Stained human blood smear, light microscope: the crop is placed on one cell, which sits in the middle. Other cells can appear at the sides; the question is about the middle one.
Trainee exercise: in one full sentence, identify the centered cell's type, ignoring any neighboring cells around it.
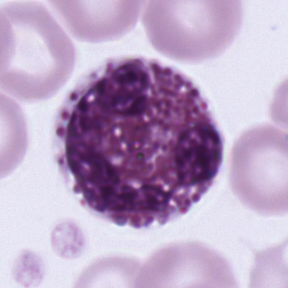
To answer, the cell in the center of the crop is an eosinophil.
